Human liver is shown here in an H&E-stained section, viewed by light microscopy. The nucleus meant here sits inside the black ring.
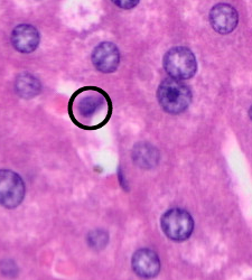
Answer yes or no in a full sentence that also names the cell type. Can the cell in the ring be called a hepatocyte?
No, it is as a Kupffer cell, not a hepatocyte, that the cell in the ring is classified.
